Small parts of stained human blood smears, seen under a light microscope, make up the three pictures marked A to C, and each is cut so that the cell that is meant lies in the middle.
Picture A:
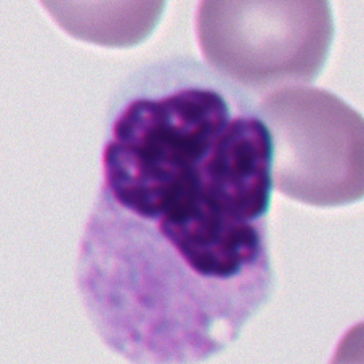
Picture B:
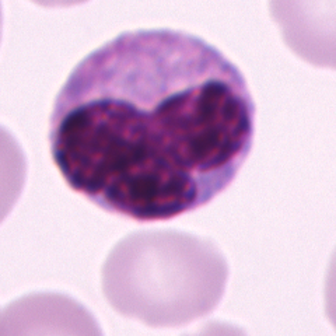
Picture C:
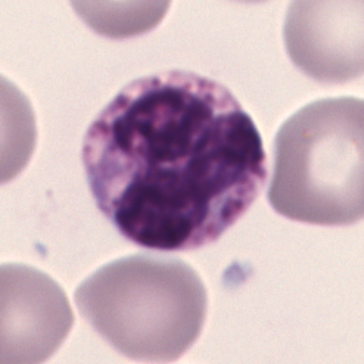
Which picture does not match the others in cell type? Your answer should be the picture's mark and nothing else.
C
